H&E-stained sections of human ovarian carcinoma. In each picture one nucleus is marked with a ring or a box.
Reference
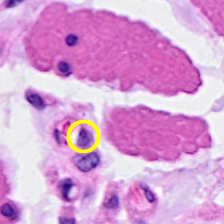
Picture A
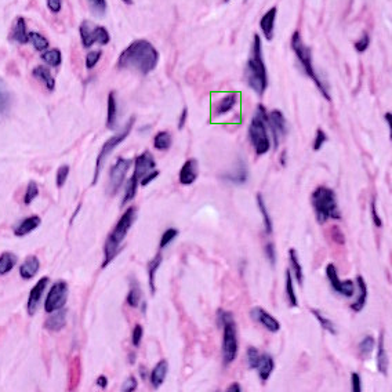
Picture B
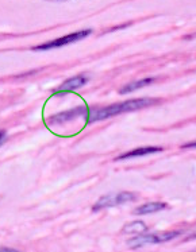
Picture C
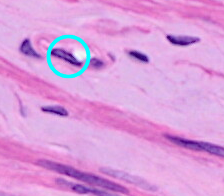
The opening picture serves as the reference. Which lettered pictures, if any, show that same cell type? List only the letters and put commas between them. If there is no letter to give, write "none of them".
C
